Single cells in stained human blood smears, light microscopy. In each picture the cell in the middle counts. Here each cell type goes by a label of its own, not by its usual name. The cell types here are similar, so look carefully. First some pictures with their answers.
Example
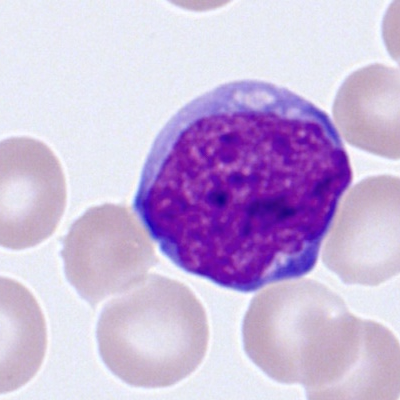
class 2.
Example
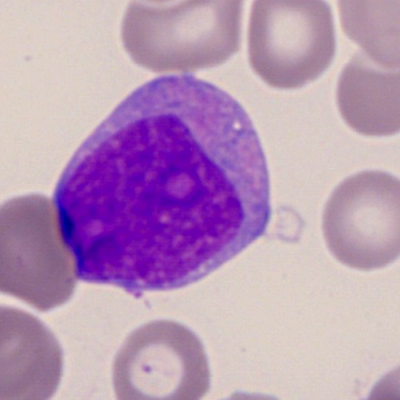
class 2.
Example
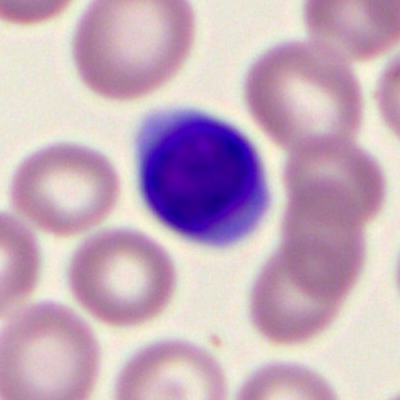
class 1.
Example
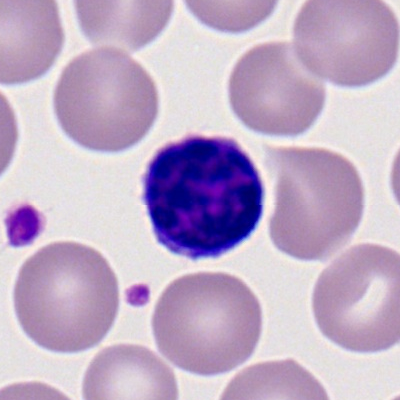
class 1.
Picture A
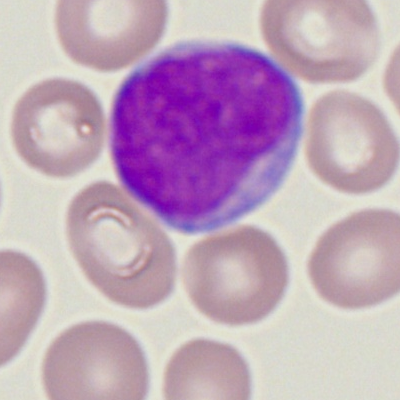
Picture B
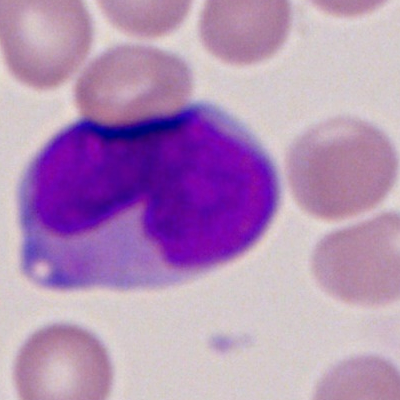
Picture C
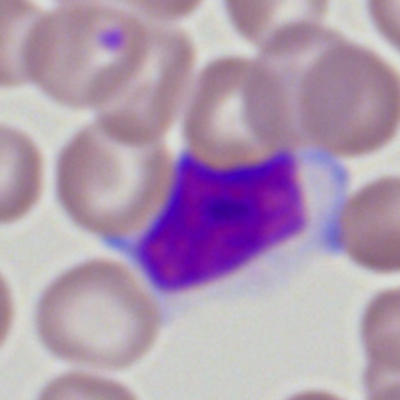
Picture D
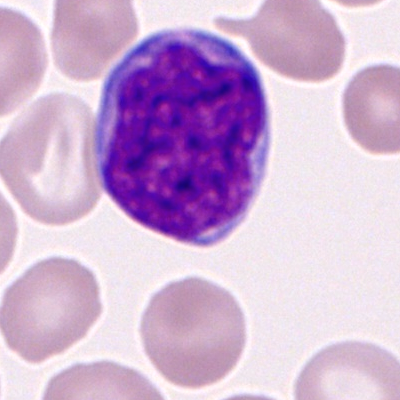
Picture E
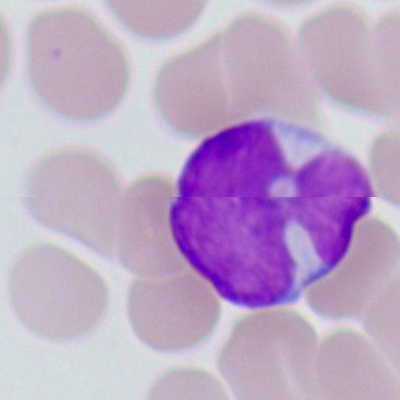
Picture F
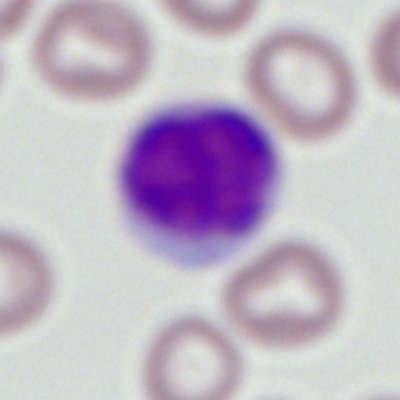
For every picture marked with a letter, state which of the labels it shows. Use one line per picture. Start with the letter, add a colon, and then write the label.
A: class 2.
B: class 2.
C: class 1.
D: class 2.
E: class 2.
F: class 1.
